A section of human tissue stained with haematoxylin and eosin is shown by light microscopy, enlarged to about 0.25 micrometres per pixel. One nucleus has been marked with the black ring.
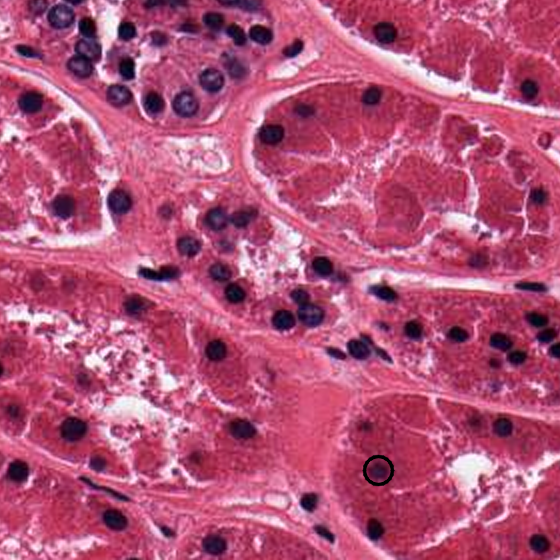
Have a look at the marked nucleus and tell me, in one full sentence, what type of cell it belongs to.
The marked nucleus lies within a proximal tubule cell.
